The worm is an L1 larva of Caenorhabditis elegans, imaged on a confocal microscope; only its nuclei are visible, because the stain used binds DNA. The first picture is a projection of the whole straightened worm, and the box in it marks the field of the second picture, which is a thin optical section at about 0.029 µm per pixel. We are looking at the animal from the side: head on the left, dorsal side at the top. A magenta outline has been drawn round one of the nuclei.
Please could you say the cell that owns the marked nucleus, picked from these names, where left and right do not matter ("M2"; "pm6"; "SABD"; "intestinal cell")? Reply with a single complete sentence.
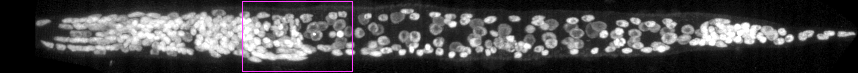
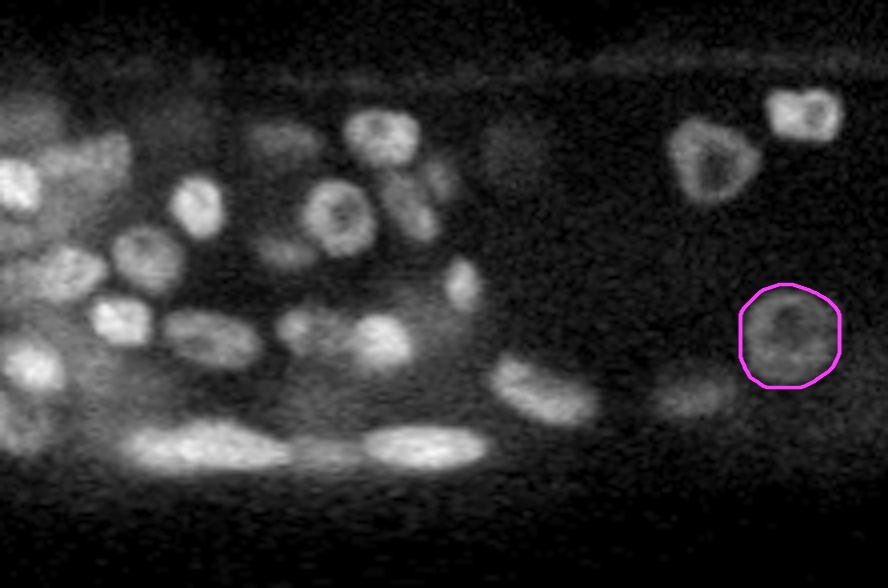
The nucleus is from an intestinal cell.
